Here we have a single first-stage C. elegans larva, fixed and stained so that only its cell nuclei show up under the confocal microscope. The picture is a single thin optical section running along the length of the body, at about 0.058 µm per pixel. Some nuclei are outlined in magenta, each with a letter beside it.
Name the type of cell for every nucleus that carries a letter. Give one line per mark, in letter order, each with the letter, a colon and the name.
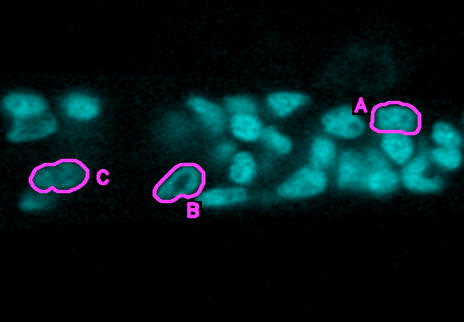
A: body wall muscle cell
B: intestinal cell
C: intestinal cell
